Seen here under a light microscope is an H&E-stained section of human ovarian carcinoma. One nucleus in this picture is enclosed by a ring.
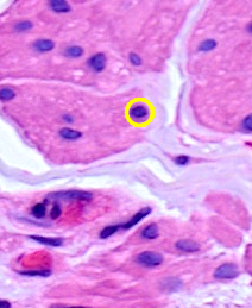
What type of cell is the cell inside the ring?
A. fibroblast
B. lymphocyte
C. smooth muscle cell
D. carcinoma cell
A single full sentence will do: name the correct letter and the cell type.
Option C is the one to take: the cell inside the ring is a smooth muscle cell.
